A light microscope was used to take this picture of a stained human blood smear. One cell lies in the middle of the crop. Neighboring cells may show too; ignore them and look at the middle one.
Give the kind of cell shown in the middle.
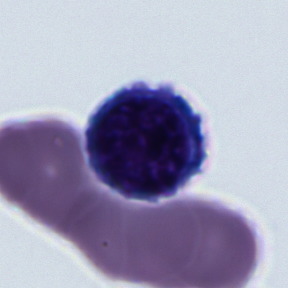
plasma cell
